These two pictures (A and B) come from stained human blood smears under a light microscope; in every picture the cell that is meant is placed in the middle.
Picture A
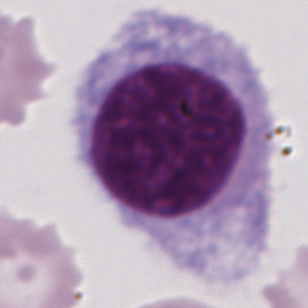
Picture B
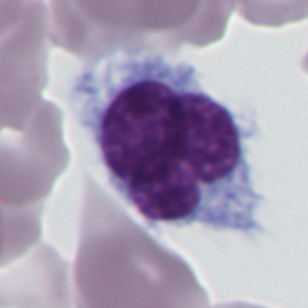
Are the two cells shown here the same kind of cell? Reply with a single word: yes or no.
yes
